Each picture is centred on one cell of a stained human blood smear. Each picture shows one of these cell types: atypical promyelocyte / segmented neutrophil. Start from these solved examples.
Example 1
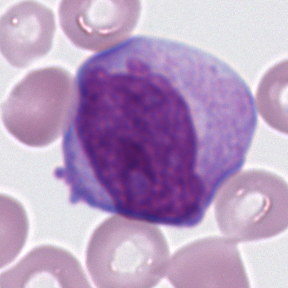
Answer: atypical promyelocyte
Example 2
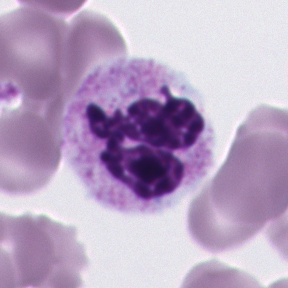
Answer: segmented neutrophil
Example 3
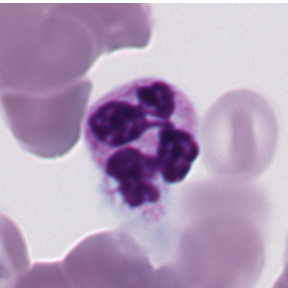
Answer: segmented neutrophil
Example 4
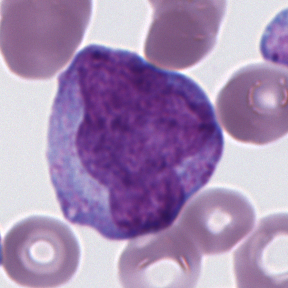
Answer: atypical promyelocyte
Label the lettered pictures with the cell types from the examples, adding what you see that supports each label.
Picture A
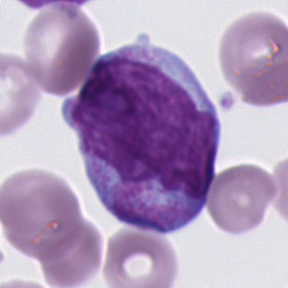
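atypical promyelocyte. The nucleus fills most of the cell and leaves its widest band of cytoplasm at the bottom.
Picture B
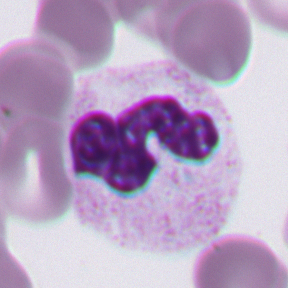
segmented neutrophil. The cytoplasm is plentiful and pale pink.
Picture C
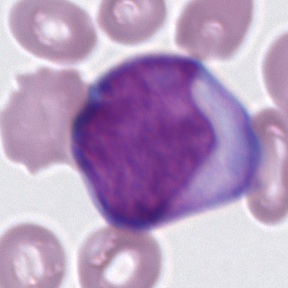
atypical promyelocyte. The nucleus fills most of the cell and sits toward its left side.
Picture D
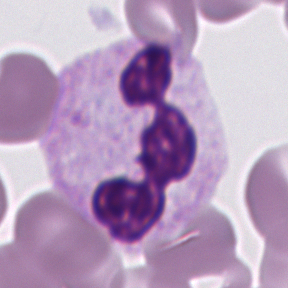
segmented neutrophil. The cytoplasm is plentiful and pale pinkish-lilac.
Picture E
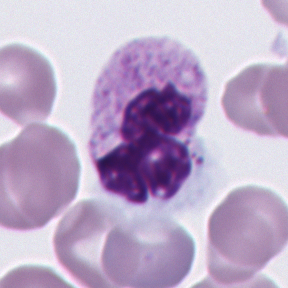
segmented neutrophil. The cytoplasm is abundant and widest above the nucleus.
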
